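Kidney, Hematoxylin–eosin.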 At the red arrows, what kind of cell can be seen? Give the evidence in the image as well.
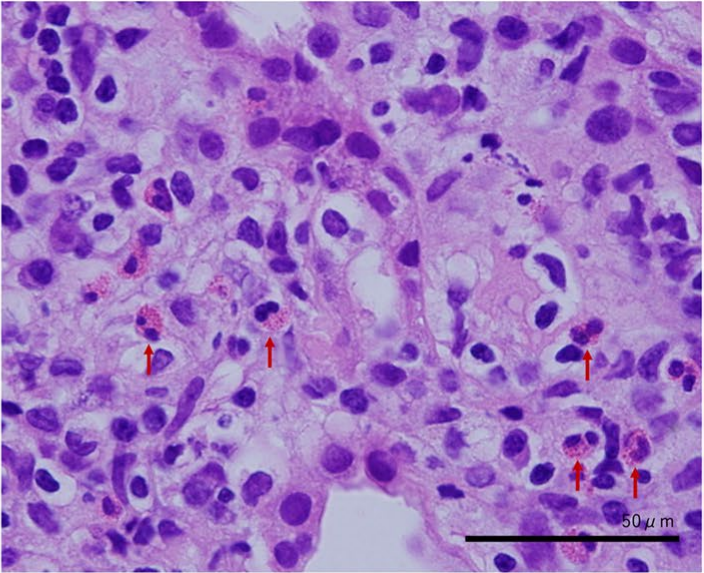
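The marked cells have cytoplasm packed with bright red-orange granules. The marked cells have dark, lobed nuclei. The marked cells are small and scattered among larger pale cells with oval nuclei. On this evidence: eosinophil.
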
